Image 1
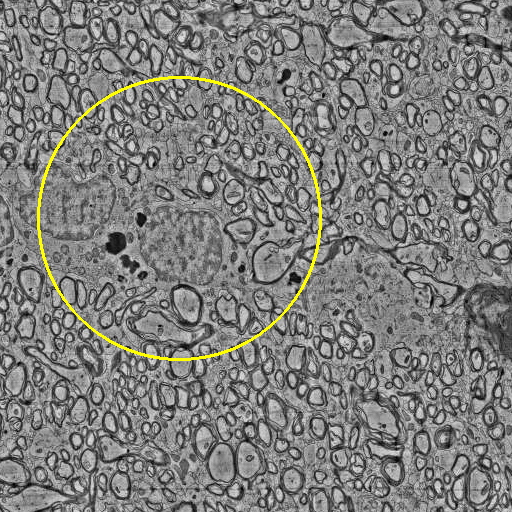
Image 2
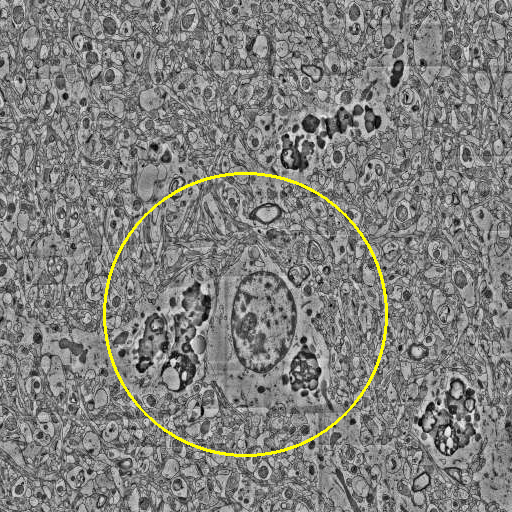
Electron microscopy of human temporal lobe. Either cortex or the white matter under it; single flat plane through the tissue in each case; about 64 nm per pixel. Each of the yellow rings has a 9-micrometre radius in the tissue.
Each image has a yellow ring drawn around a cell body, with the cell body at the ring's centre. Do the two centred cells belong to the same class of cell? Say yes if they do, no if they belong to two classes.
no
